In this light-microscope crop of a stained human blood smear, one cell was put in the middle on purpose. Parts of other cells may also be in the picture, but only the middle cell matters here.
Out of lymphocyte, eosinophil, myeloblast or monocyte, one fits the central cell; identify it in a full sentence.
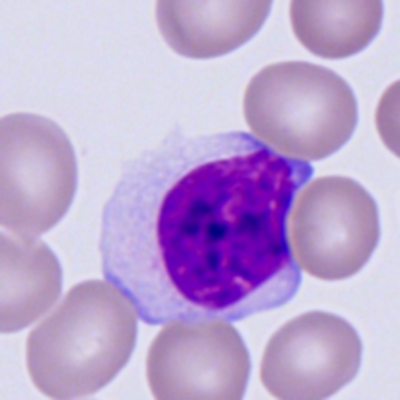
The centrally located cell in the crop is a lymphocyte.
